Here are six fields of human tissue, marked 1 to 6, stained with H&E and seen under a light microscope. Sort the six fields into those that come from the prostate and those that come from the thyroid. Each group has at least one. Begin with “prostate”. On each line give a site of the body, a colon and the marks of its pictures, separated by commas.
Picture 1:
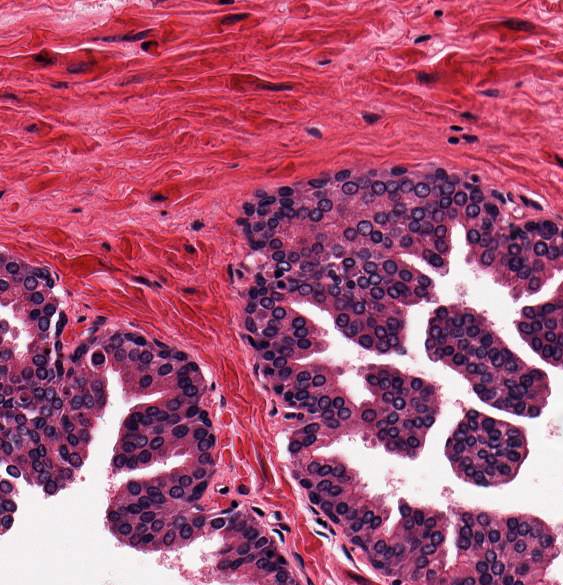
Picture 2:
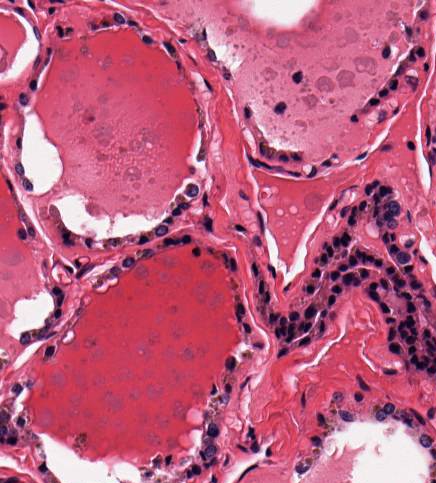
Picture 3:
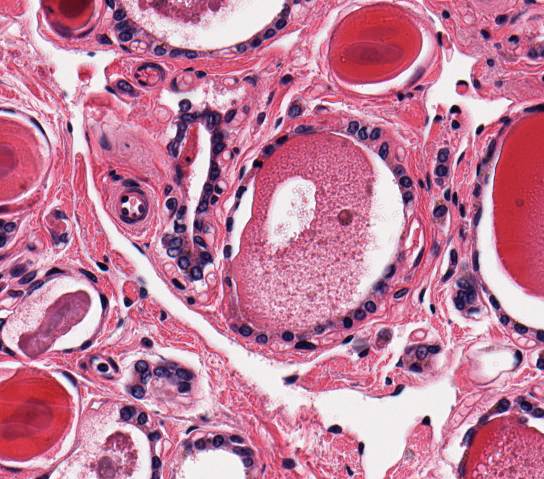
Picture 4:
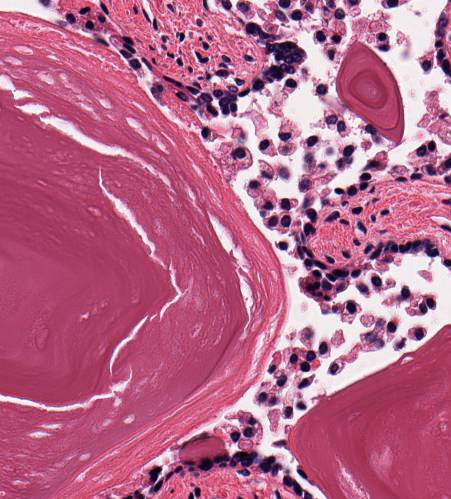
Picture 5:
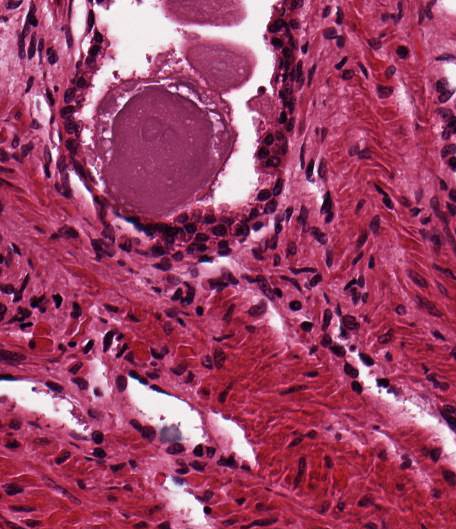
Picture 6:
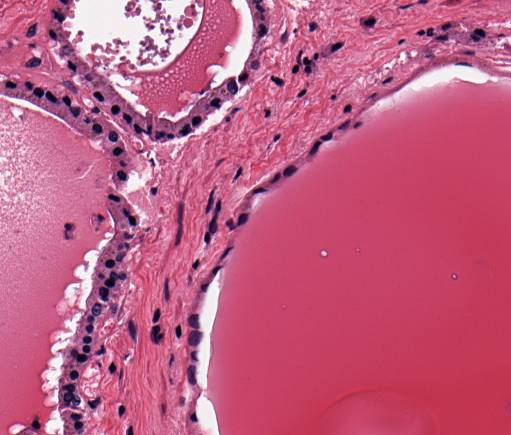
prostate: 1, 4, 5
thyroid: 2, 3, 6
